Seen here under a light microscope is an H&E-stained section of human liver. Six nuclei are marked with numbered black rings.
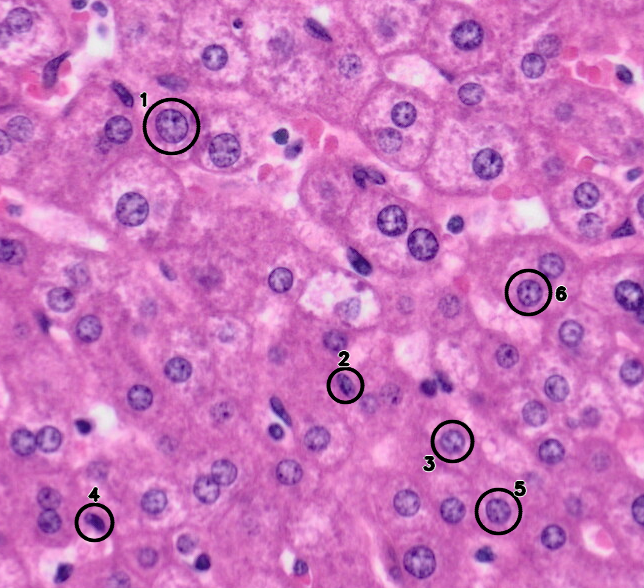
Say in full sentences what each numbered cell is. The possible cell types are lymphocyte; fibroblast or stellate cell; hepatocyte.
Cell 1 is a hepatocyte, cell 2 is a fibroblast or stellate cell, cell 3 is a hepatocyte, cell 4 is a fibroblast or stellate cell, cell 5 is a hepatocyte and cell 6 is a hepatocyte.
